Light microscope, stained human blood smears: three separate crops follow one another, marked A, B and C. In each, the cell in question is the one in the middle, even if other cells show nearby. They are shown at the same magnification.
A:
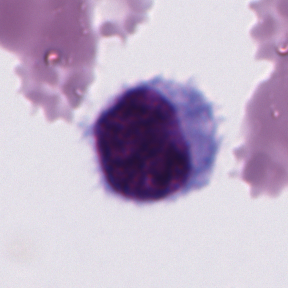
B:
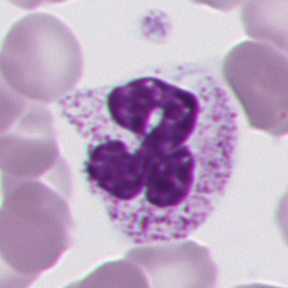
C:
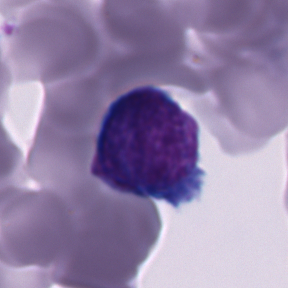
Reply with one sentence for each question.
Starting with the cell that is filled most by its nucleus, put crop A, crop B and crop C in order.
The most filled comes first: C, A, B.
